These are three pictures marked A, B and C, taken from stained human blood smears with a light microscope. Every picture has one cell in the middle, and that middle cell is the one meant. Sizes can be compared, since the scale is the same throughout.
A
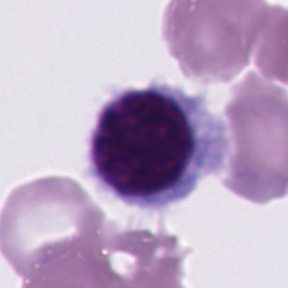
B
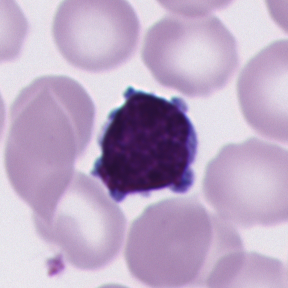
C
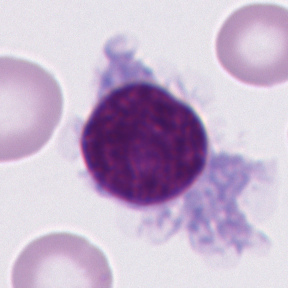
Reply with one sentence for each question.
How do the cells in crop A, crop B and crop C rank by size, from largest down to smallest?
The order is C, A, B, beginning with the largest.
